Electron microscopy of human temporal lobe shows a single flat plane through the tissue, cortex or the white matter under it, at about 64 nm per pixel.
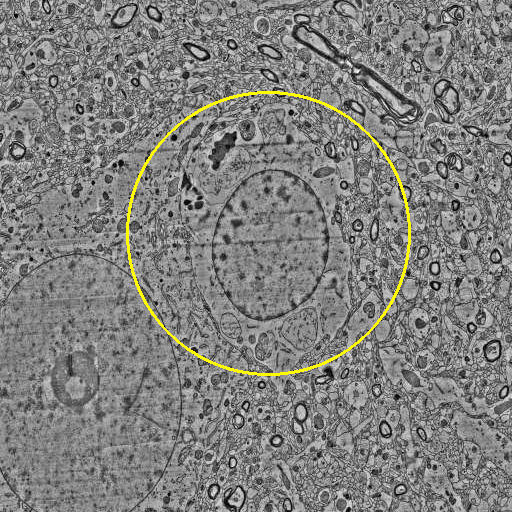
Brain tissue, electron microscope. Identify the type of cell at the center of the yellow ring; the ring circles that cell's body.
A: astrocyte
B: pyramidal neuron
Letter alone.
A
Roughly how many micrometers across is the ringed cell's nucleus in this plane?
In this plane the nucleus spans approximately 10 by 7 micrometers.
